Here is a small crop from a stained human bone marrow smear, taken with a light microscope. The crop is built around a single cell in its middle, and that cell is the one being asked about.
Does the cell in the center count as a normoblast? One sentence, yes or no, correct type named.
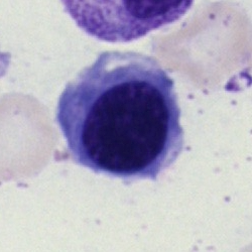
Yes, the cell lying in the middle is a normoblast.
